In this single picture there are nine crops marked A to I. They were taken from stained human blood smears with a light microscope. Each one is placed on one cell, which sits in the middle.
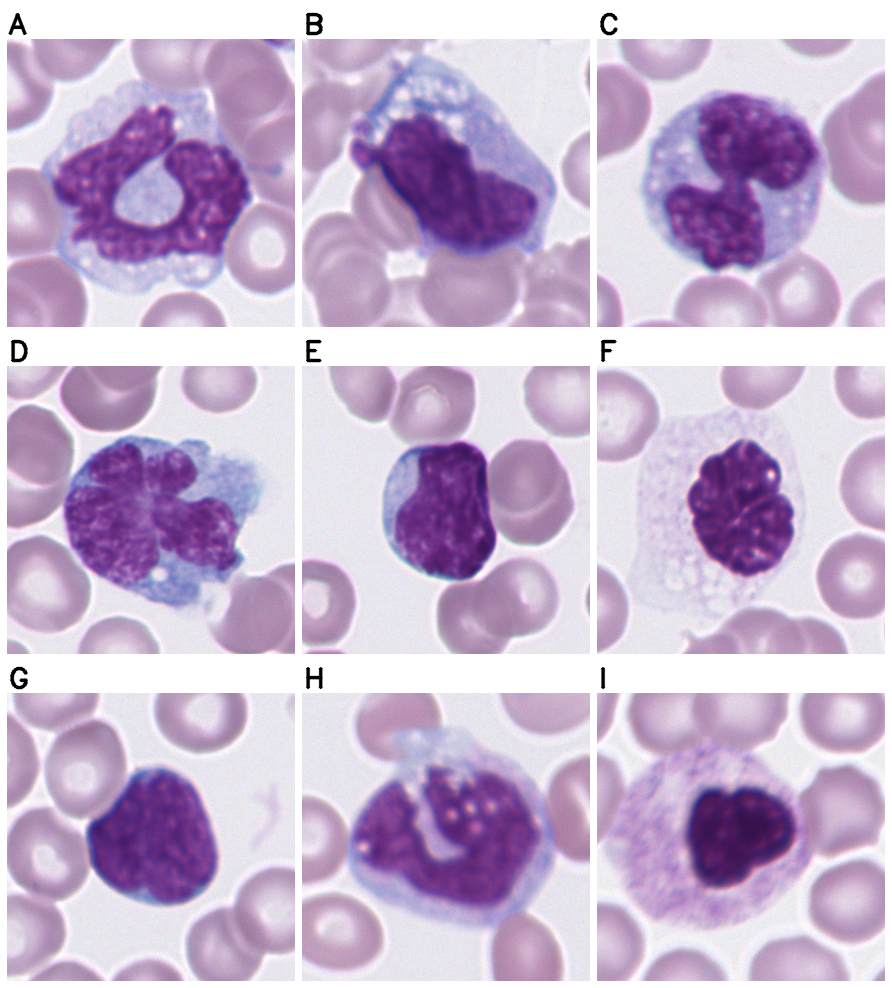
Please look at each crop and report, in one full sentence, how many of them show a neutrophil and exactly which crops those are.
Since crops F and I show neutrophils, the count of such crops is two.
